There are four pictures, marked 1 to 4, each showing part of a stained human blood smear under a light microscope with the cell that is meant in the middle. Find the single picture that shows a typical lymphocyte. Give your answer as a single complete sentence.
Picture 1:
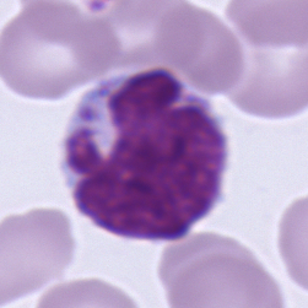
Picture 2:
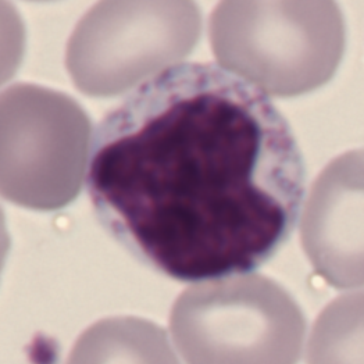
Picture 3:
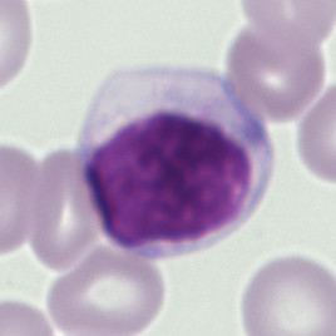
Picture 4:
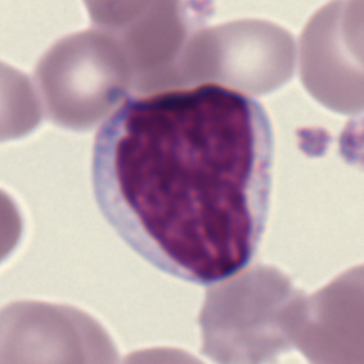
Picture 1 shows the typical lymphocyte.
